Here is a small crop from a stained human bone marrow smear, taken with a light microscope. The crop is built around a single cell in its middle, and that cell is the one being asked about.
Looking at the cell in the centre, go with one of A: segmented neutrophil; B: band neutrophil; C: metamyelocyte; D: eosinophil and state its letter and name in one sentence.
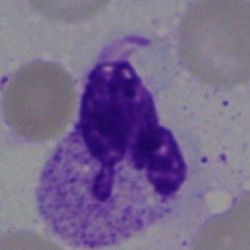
The centrally positioned cell is a segmented neutrophil, consistent with option A, which is correct.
